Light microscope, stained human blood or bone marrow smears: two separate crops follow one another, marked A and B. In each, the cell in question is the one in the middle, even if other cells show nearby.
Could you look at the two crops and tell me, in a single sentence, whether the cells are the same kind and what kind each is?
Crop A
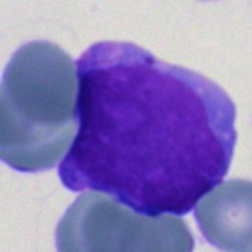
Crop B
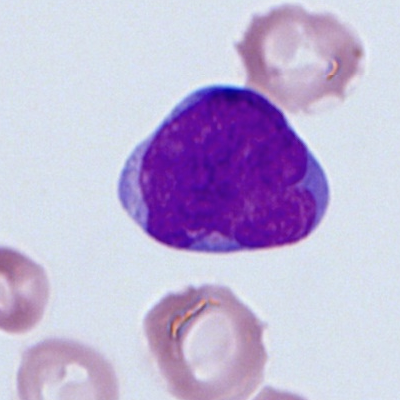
Yes, the middle cells in the two crops are blasts.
